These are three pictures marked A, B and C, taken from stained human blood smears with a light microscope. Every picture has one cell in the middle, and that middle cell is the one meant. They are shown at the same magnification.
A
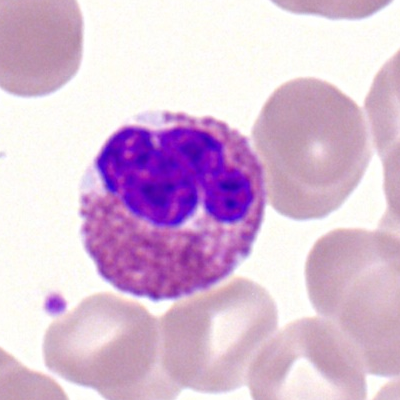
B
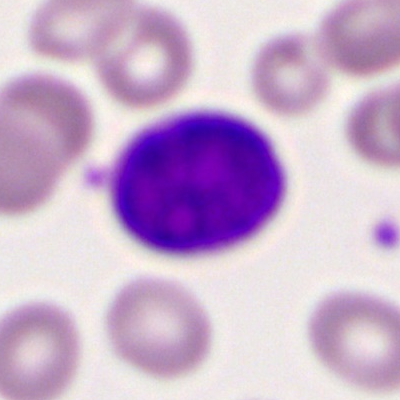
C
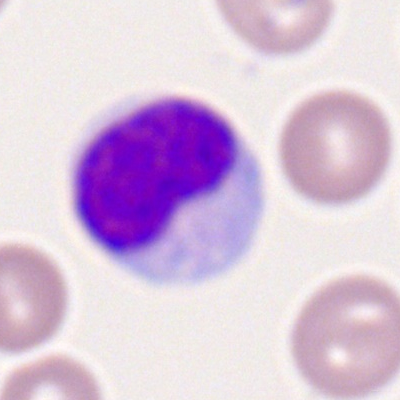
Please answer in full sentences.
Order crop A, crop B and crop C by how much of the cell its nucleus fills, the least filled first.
From the least filled to the most, the order is A, C, B.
